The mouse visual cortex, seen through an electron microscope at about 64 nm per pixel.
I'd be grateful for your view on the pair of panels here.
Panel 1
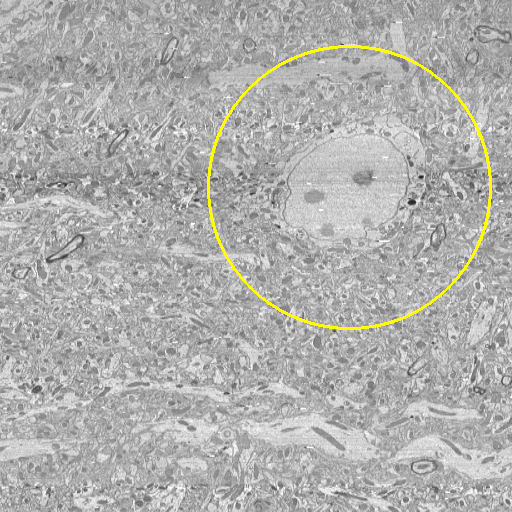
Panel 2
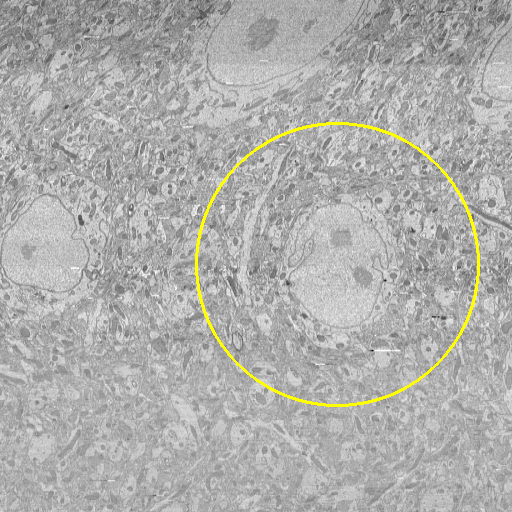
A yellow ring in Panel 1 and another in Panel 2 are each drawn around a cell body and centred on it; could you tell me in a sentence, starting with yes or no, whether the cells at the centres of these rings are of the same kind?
No, they are two kinds of cell.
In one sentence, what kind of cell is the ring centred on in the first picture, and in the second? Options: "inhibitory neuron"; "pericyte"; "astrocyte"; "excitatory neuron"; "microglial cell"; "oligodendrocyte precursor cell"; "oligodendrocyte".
The cell at the centre of the second ring is an inhibitory neuron; the first ring's cell is an excitatory neuron.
